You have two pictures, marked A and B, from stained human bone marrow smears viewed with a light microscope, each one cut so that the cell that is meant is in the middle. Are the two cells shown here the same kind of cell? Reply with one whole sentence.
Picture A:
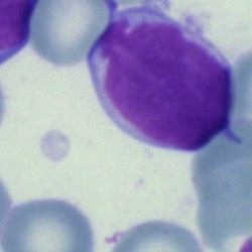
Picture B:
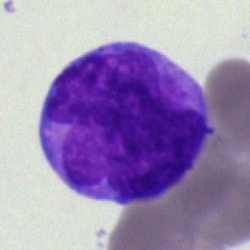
No, the types are not the same, since picture A shows a lymphocyte and picture B a blast.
